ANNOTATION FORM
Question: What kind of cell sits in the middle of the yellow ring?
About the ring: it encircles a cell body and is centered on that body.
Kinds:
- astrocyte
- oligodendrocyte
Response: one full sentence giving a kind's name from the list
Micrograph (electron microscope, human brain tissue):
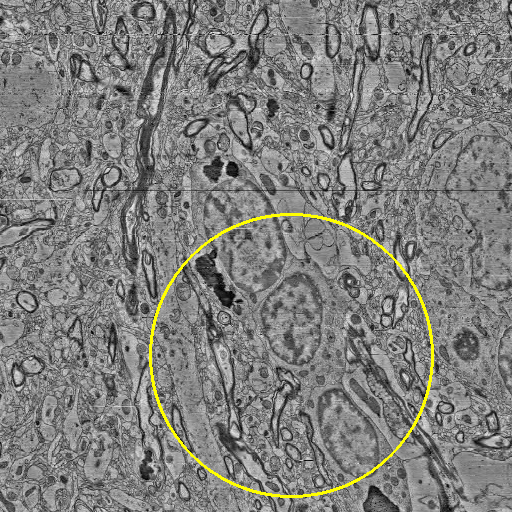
The kind of cell found at the center of the yellow ring in the micrograph is an oligodendrocyte.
